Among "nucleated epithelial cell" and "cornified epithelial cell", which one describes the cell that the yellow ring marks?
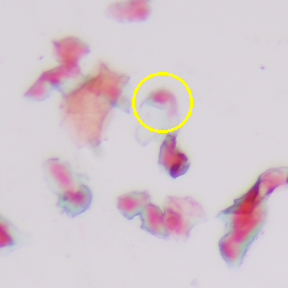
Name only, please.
nucleated epithelial cell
